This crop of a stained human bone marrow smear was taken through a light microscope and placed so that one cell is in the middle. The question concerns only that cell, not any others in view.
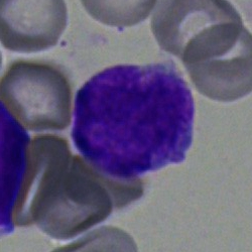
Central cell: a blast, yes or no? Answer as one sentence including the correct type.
No, the label for the central cell is a lymphocyte, not a blast.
